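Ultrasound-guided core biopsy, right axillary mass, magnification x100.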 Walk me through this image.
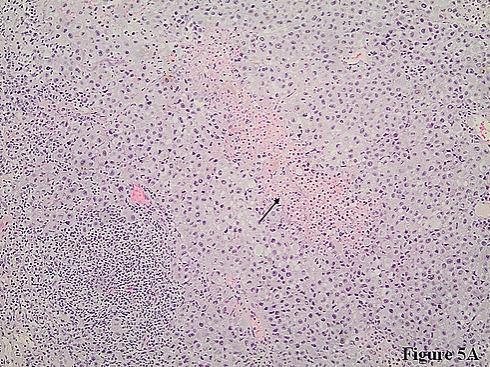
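Lymph node largely replaced by sheets of large pale polygonal tumor cells with round nuclei and ample pale cytoplasm, loosely arranged. At lower left a dense aggregate of small dark round lymphoid cells persists beside the tumor sheets. Near the centre a poorly defined zone stains pinker and paler, with faded cell outlines and fewer distinct nuclei, in keeping with necrosis. Small pink foci lie scattered at the edges of the field.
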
